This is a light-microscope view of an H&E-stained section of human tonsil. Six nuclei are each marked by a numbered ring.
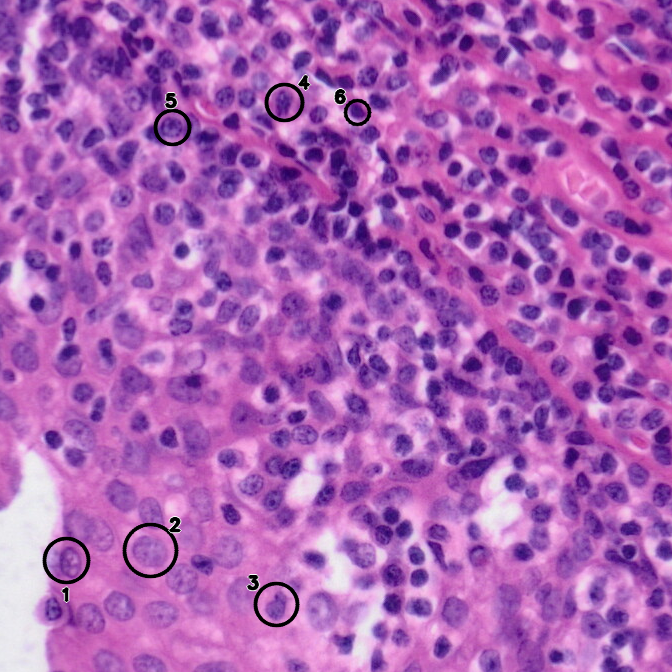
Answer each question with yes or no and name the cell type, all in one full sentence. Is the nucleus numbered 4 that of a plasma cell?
Yes, the cell tagged with the number 4 is a plasma cell.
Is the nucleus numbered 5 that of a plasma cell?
Yes, the cell distinguished by number 5 is a plasma cell.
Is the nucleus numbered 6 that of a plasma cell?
Yes, the cell marked by the number 6 is a plasma cell.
